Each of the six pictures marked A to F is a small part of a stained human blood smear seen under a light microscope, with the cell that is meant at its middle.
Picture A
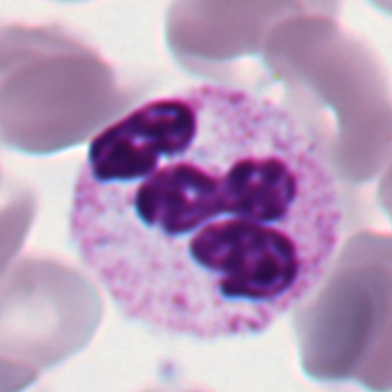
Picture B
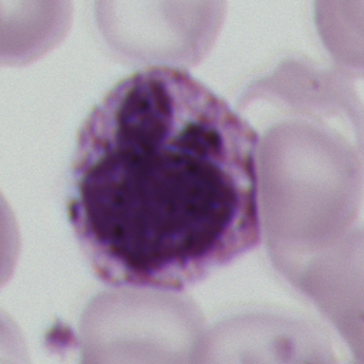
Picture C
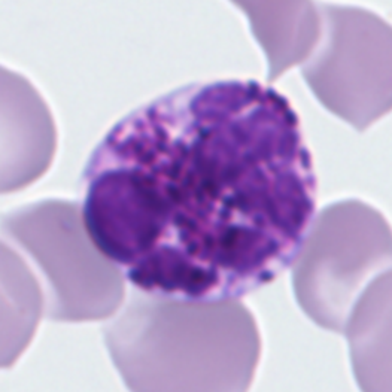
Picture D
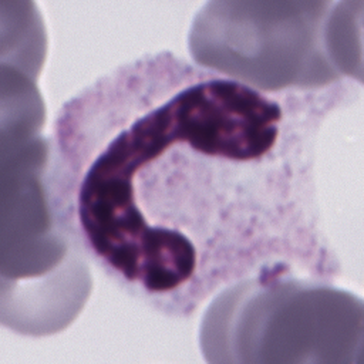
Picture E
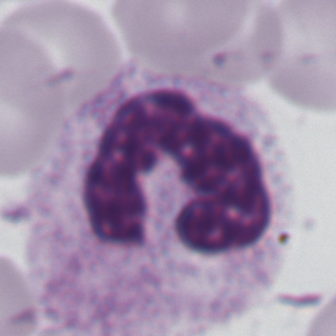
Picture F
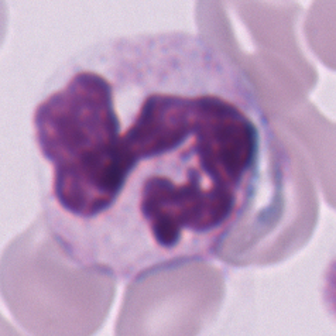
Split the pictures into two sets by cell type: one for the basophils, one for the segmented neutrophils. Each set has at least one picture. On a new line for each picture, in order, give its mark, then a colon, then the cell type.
A: segmented neutrophil
B: basophil
C: basophil
D: segmented neutrophil
E: segmented neutrophil
F: segmented neutrophil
